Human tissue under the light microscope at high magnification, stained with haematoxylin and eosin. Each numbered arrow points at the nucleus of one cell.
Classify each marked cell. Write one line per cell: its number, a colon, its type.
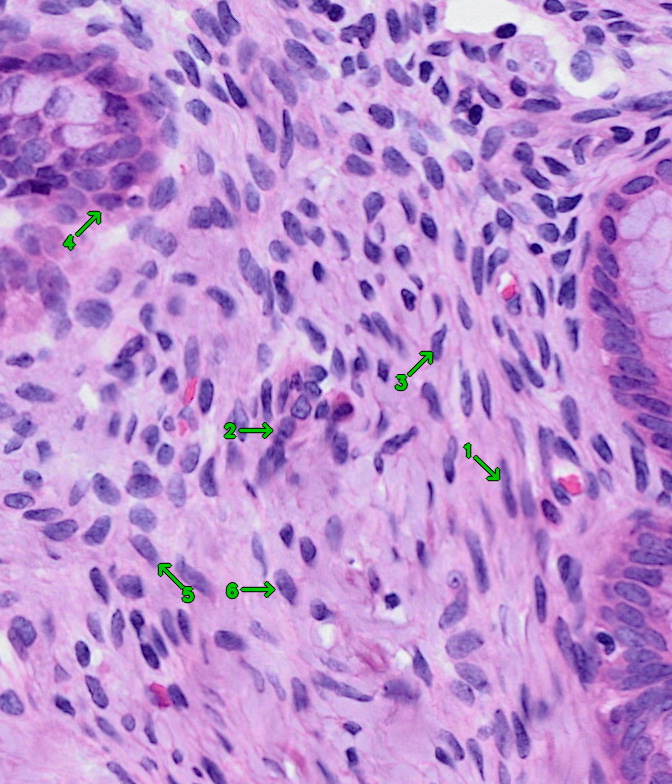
1: fibroblast
2: endothelial cell
3: fibroblast
4: secretory epithelial cell
5: fibroblast
6: fibroblast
